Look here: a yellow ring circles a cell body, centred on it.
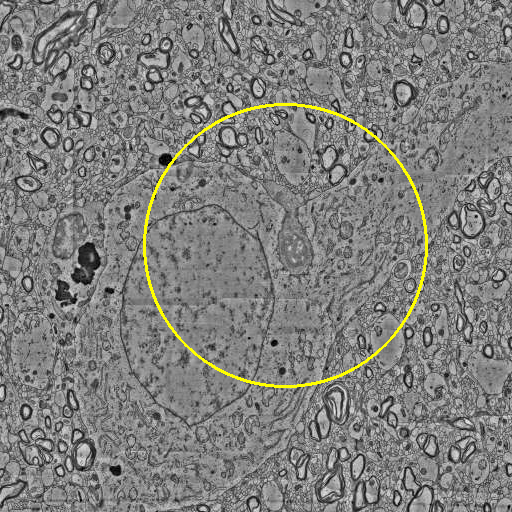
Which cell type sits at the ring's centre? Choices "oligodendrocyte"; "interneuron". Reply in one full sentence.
The cell at the centre of the yellow ring in the picture is an oligodendrocyte.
